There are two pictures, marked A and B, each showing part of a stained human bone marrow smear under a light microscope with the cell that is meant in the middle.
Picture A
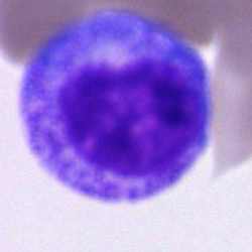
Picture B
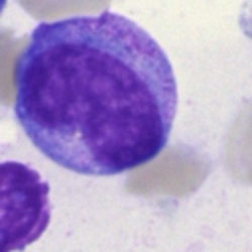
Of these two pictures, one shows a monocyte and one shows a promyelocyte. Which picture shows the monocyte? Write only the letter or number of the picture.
B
